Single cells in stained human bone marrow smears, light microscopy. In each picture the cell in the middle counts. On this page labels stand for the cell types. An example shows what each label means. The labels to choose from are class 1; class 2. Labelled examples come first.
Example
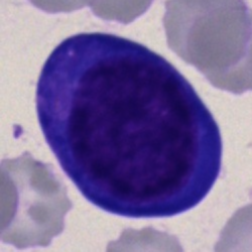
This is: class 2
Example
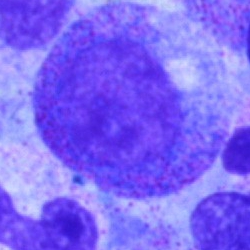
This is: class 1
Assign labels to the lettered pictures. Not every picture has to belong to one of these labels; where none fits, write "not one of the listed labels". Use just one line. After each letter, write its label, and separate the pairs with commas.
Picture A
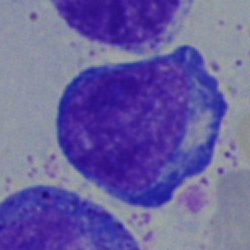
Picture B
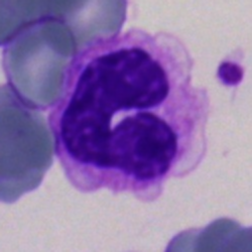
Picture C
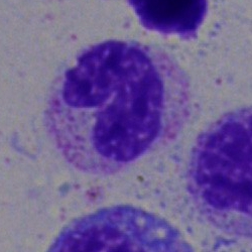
A class 2, B not one of the listed labels, C not one of the listed labels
